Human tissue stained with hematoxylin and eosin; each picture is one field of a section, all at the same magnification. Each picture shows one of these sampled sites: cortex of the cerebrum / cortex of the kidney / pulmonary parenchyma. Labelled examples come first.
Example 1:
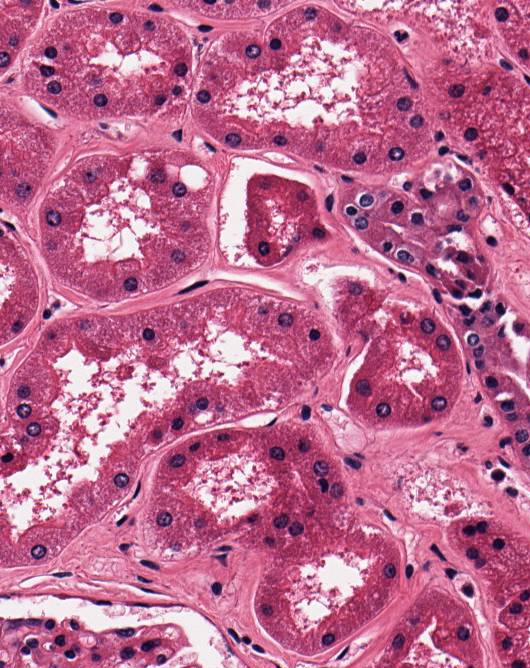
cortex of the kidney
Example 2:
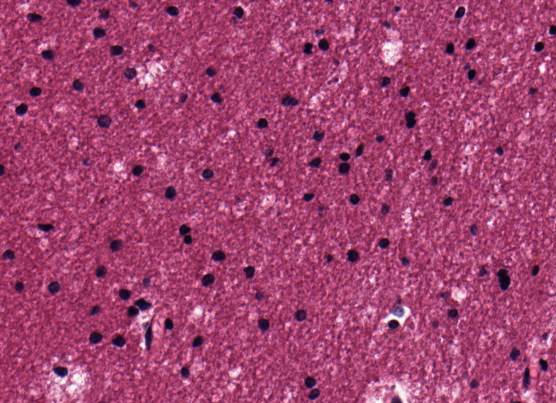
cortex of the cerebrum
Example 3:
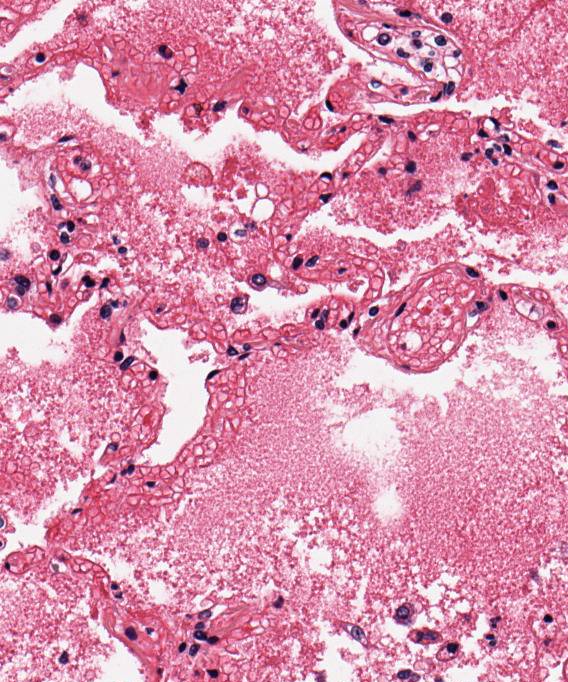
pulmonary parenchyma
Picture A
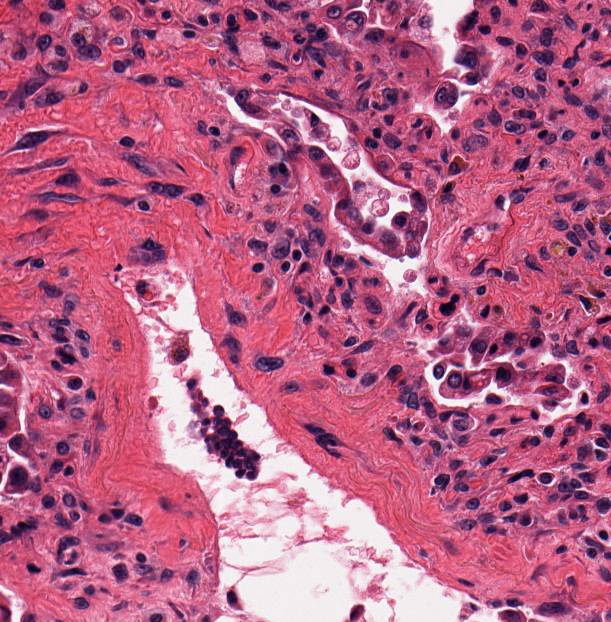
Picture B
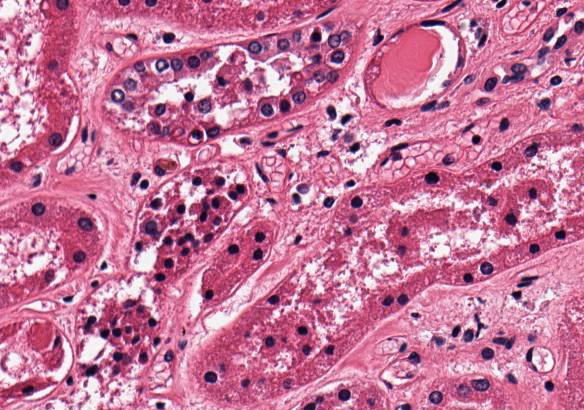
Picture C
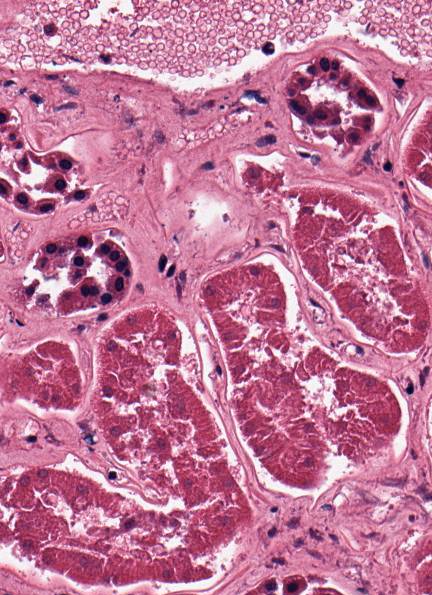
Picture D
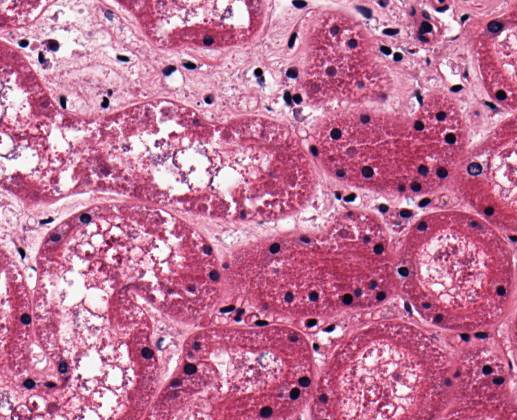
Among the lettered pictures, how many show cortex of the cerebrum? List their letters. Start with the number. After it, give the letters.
0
